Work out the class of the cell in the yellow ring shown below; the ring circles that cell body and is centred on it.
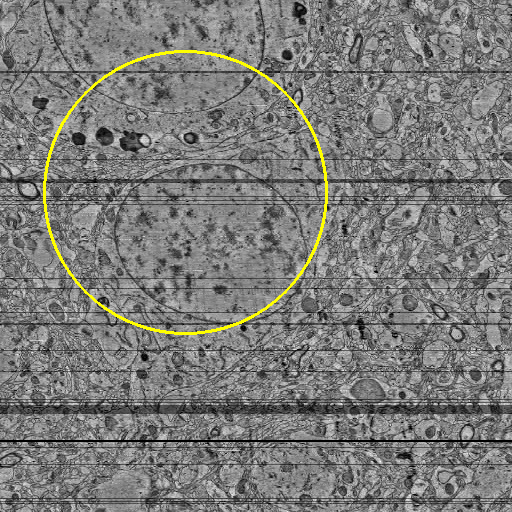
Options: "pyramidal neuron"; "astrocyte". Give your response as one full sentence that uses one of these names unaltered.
The body ringed in yellow, right at the ring's centre, is that of a pyramidal neuron.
